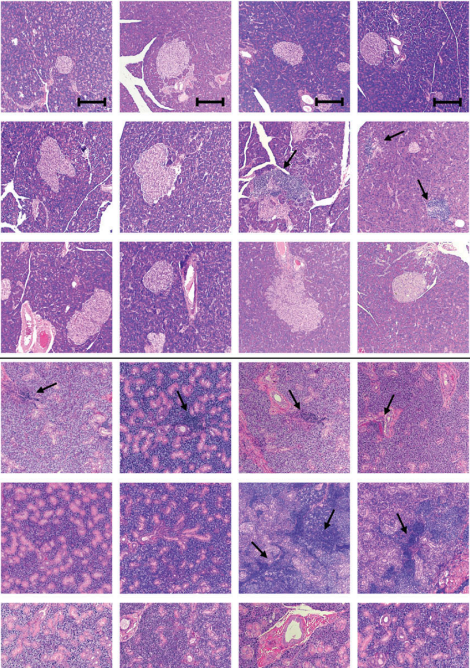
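Nuclei appear purple and cytoplasm and connective tissue appear pink. In the upper images, pale rounded islands of cells lie within densely packed pink acinar tissue, and a few ducts and vessels cut across the field. The lower images show salivary gland lobules made of many small acini, with scattered ducts between them. In several images, dense dark purple clusters appear, packed with small round nuclei. These clusters sit between the acini and around ducts and vessels, marking collections of infiltrating cells.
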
